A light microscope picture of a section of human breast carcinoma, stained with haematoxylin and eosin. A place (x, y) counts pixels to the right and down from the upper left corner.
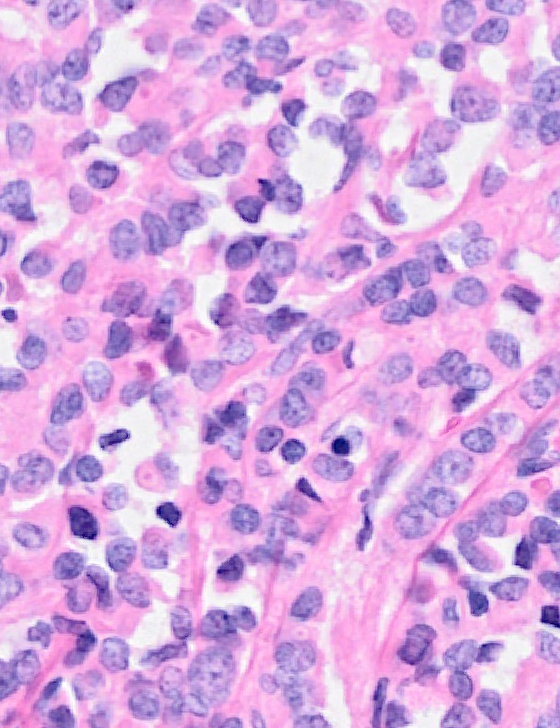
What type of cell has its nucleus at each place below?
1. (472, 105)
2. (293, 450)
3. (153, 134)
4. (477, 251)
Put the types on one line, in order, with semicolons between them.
carcinoma cell; lymphocyte; carcinoma cell; carcinoma cell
